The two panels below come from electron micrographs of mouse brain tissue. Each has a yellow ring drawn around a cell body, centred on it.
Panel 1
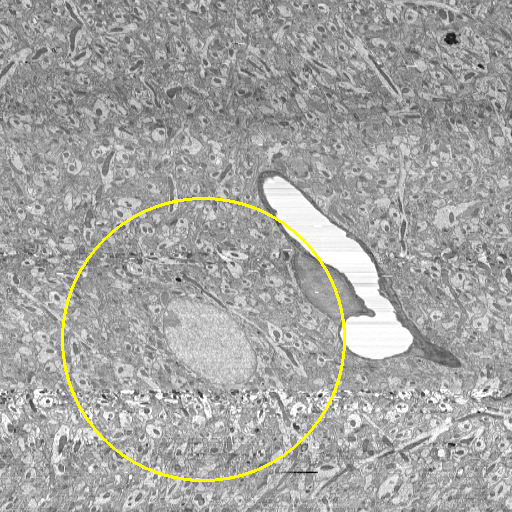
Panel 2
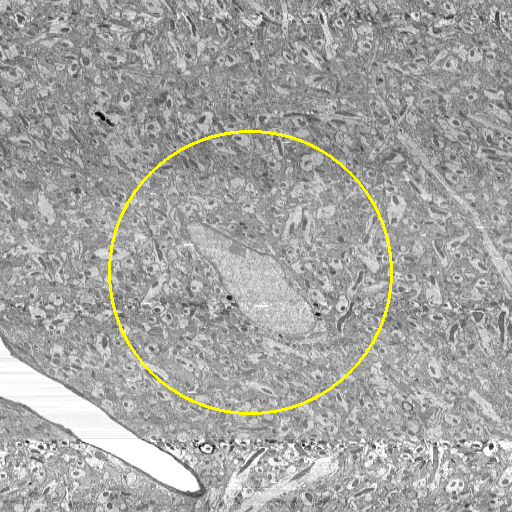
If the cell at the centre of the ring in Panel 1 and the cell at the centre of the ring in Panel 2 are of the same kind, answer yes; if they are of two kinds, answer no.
yes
